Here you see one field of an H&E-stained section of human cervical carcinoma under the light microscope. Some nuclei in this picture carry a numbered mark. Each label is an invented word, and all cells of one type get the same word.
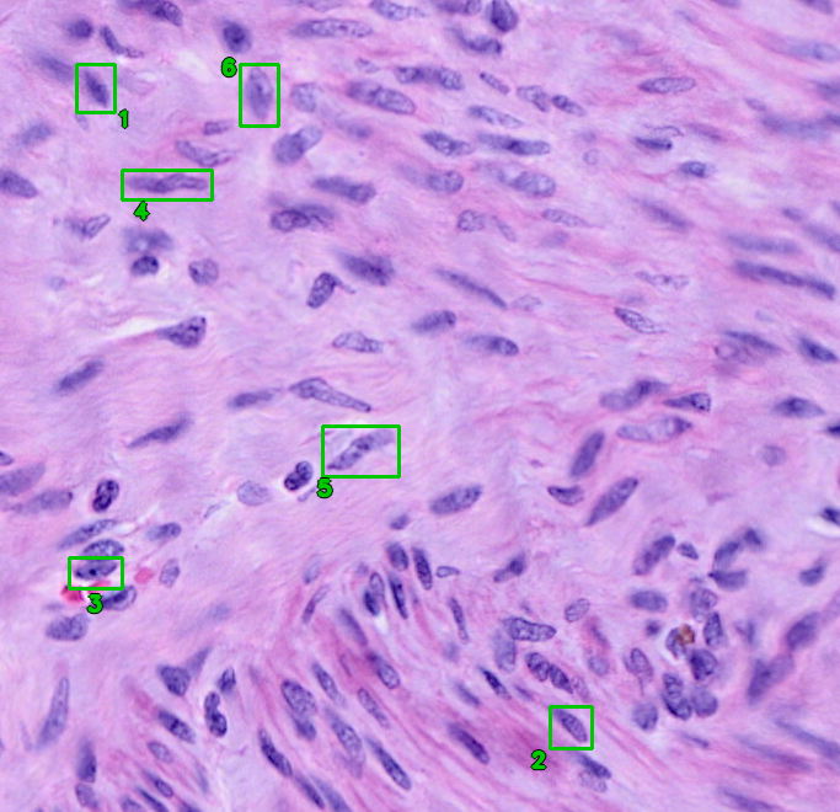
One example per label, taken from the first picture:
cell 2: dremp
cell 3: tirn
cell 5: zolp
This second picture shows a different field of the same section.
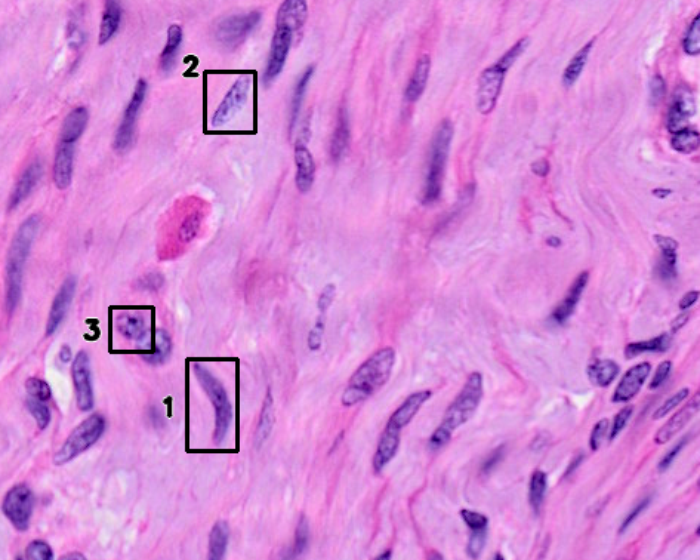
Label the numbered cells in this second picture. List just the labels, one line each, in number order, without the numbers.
zolp
zolp
tirn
